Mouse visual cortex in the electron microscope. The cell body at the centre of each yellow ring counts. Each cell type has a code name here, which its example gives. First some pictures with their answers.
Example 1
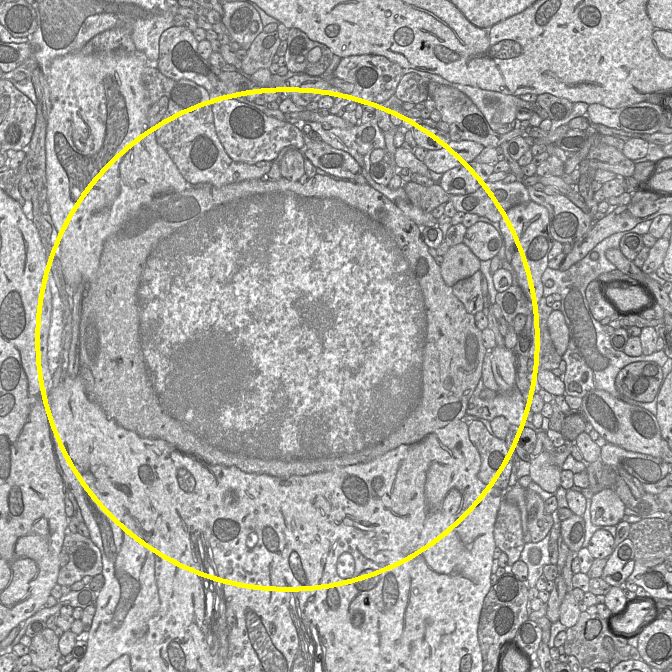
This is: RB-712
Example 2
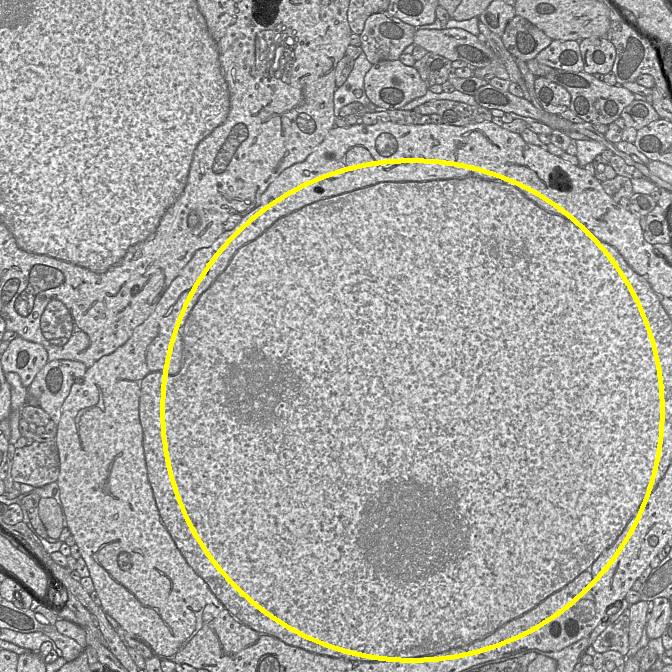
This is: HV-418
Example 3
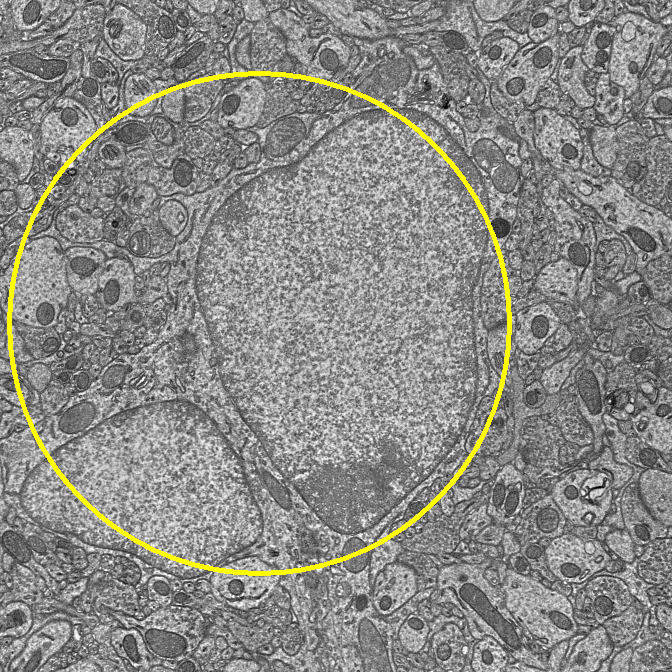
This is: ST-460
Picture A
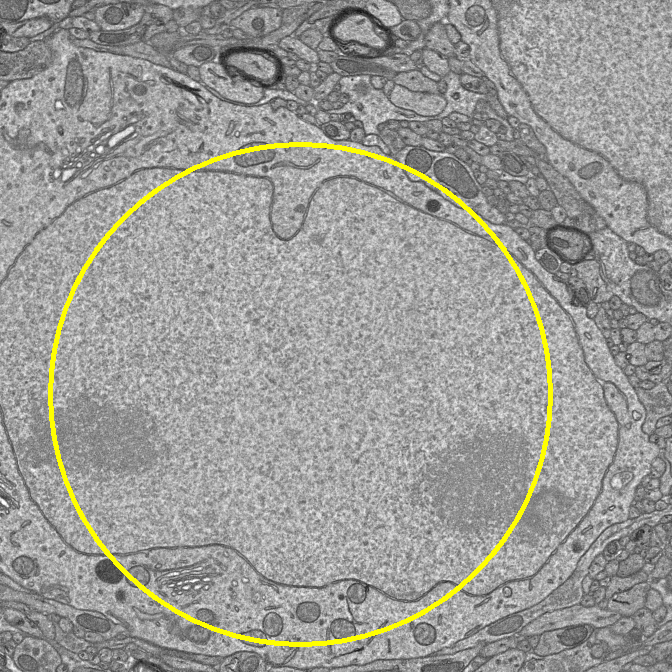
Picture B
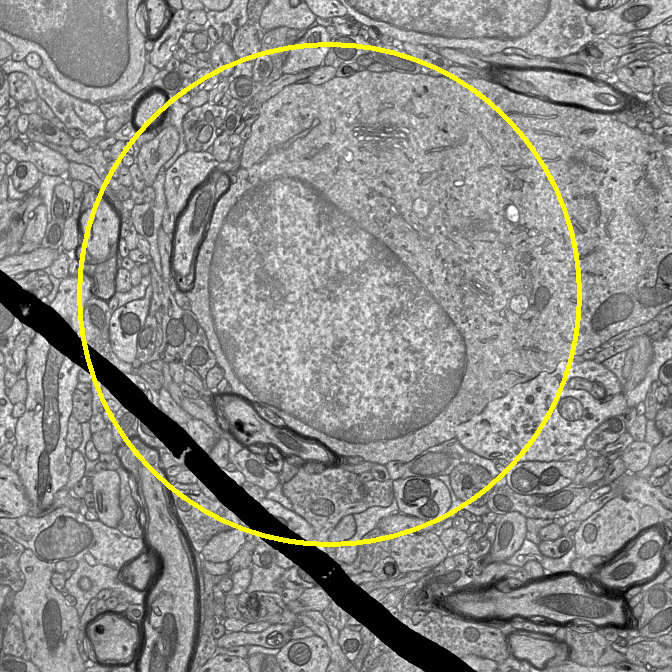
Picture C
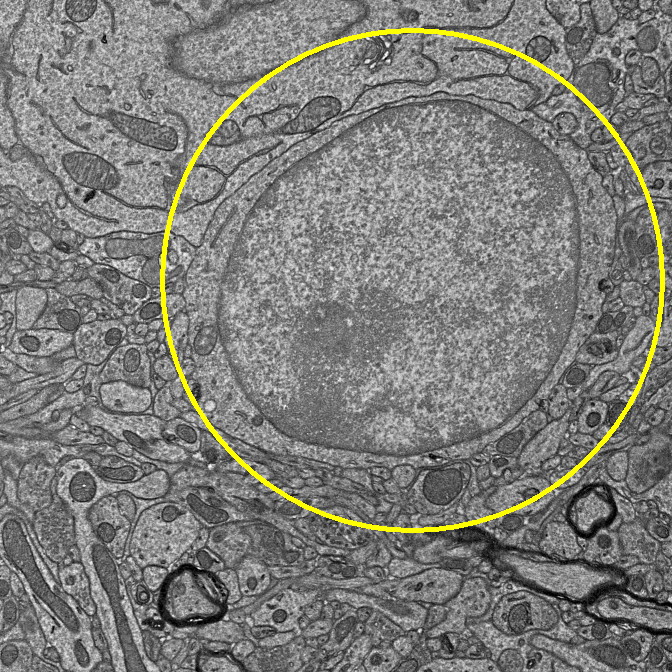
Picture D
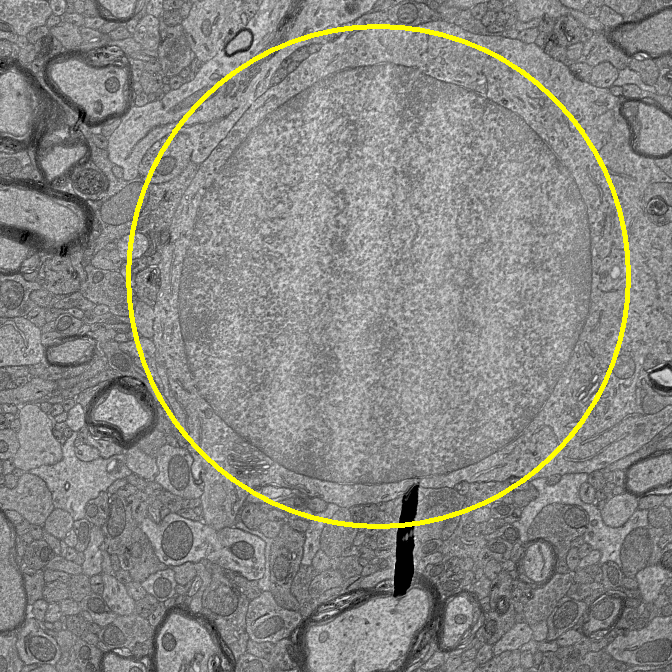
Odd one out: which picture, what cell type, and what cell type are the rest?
Picture A: HV-418. All others: RB-712.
